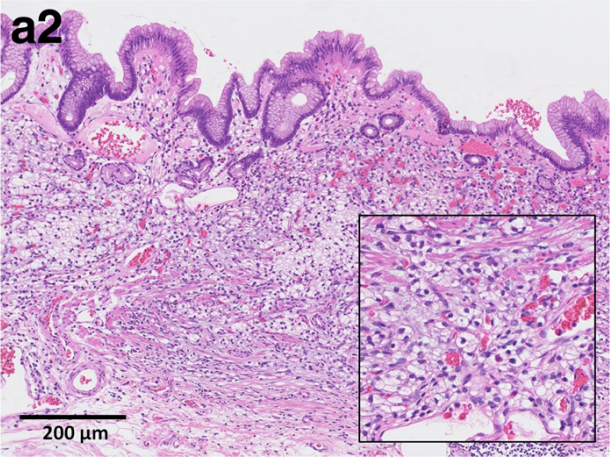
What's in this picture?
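Gastric mucosa with foveolar surface epithelium along the top, beneath which the lamina propria is filled by sheets of tumor cells with abundant pale, clear to faintly pink cytoplasm and small dark nuclei. The tumor cells are separated by delicate, congested thin-walled vessels with red blood cells. The enlarged box shows the clear cells in detail.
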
